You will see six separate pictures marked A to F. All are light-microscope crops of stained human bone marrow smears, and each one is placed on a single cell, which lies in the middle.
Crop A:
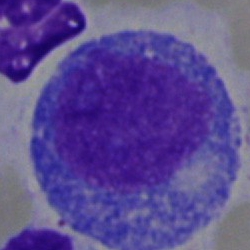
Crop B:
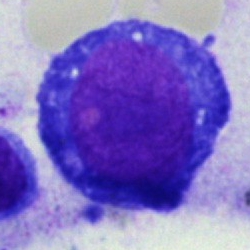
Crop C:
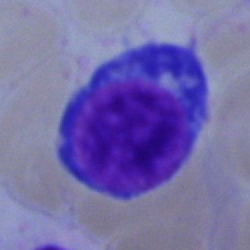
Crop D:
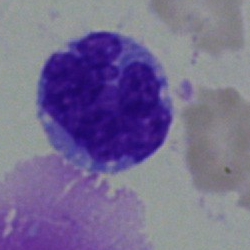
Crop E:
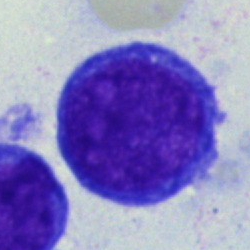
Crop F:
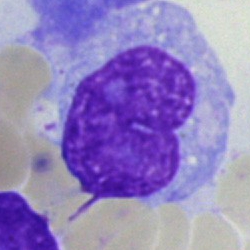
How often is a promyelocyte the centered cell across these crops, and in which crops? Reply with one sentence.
Of the crops presented, the one depicting a promyelocyte is crop A.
